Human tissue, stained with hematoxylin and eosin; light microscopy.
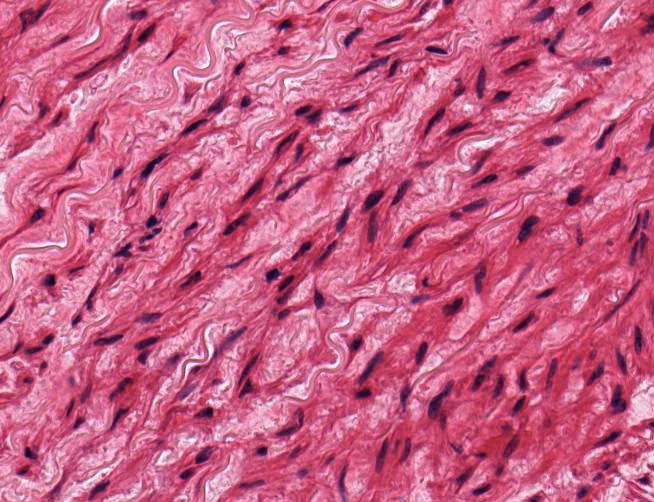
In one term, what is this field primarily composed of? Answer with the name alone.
tunica media of an artery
